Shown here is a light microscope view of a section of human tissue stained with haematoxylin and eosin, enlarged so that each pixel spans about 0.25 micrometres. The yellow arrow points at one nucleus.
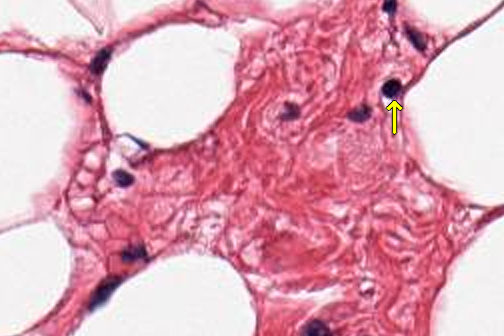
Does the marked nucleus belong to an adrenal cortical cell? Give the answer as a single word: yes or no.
no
